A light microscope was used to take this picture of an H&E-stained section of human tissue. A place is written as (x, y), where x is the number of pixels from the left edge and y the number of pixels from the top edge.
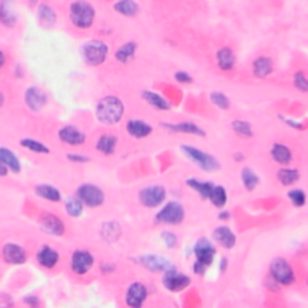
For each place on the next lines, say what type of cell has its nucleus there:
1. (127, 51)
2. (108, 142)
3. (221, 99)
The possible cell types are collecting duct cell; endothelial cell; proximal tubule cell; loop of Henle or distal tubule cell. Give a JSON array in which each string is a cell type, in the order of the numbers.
["loop of Henle or distal tubule cell", "loop of Henle or distal tubule cell", "endothelial cell"]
